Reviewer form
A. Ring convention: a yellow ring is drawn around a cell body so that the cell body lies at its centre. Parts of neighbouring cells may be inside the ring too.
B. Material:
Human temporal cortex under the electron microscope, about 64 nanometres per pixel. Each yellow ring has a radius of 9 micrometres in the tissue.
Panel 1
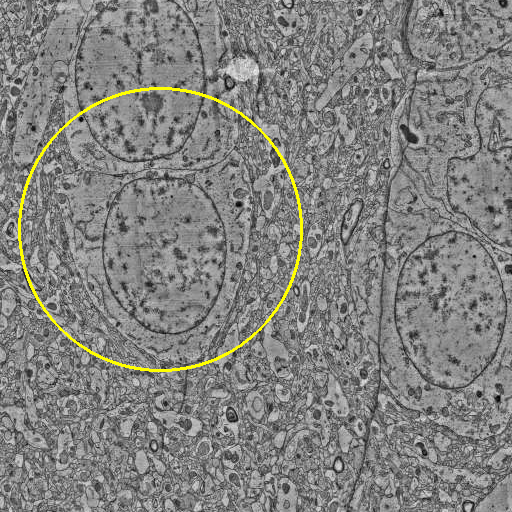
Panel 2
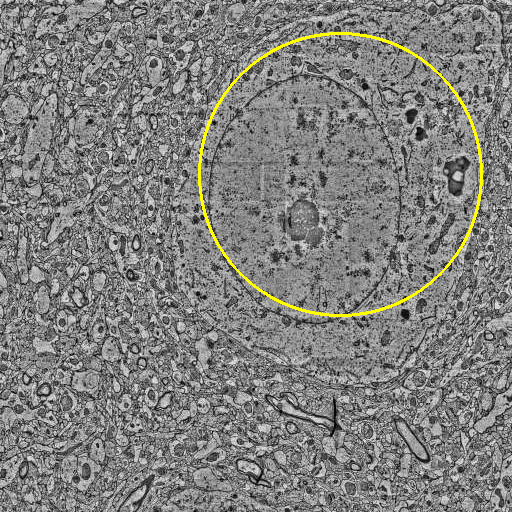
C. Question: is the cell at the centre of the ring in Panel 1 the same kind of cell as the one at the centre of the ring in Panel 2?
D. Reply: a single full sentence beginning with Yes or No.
Yes, the cells in Panel 1 and Panel 2 are the same kind of cell.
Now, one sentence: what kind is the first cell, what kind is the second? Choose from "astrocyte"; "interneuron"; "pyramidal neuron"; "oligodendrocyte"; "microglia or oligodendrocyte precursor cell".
The second cell is a pyramidal neuron, just as the first is.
